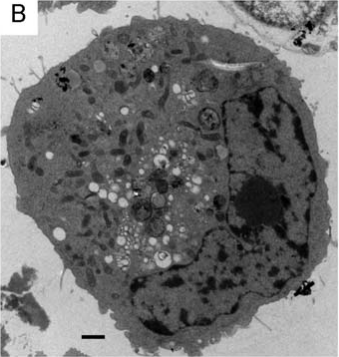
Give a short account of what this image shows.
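A single rounded cell is seen in section, with a large irregular nucleus occupying one side and carrying dark clumps of chromatin along its envelope and a dense nucleolus. The cytoplasm beside the nucleus is filled with a cluster of many small pale round vacuoles. Among them lie larger vesicles with membranous and dense contents. Elongated dark organelles are scattered through the rest of the cytoplasm, and short projections fringe the cell surface. The crowded vacuoles and content-filled vesicles fit a cell with numerous autophagic vacuoles.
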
